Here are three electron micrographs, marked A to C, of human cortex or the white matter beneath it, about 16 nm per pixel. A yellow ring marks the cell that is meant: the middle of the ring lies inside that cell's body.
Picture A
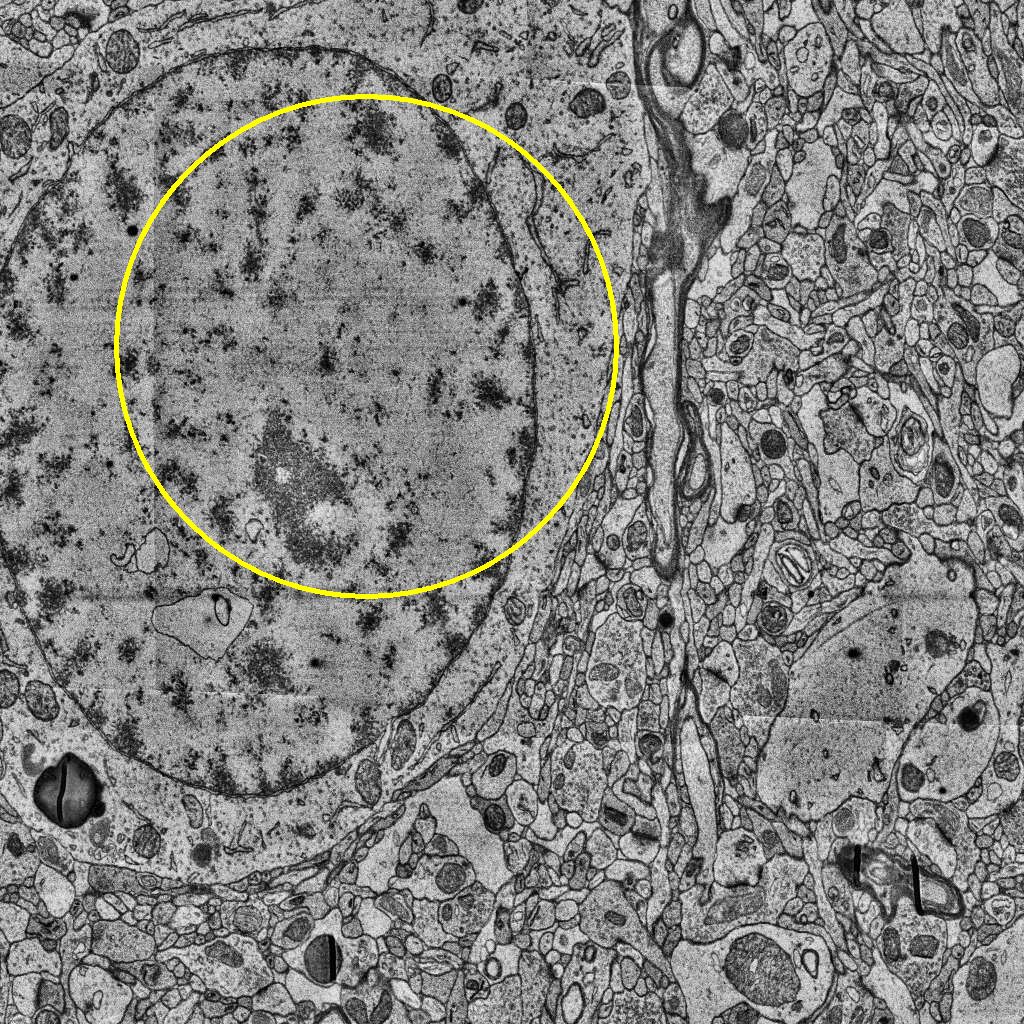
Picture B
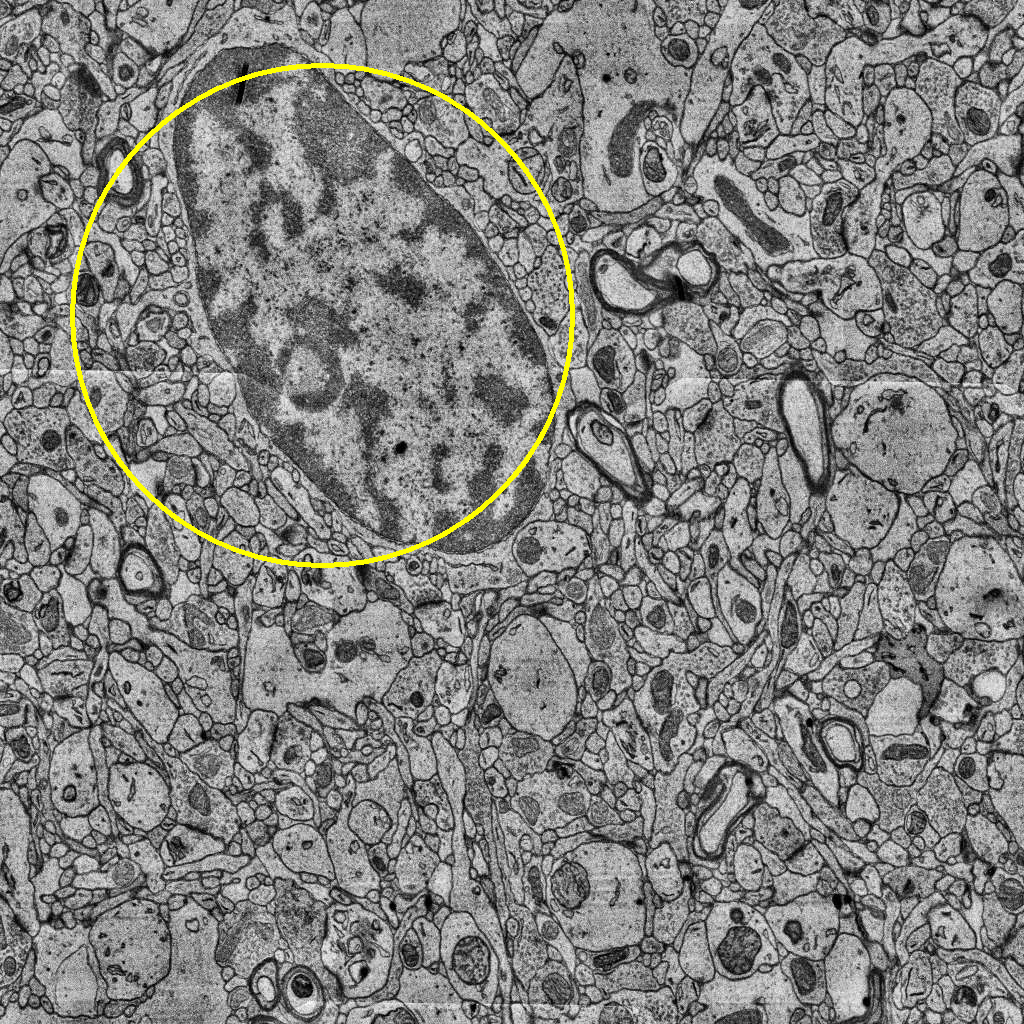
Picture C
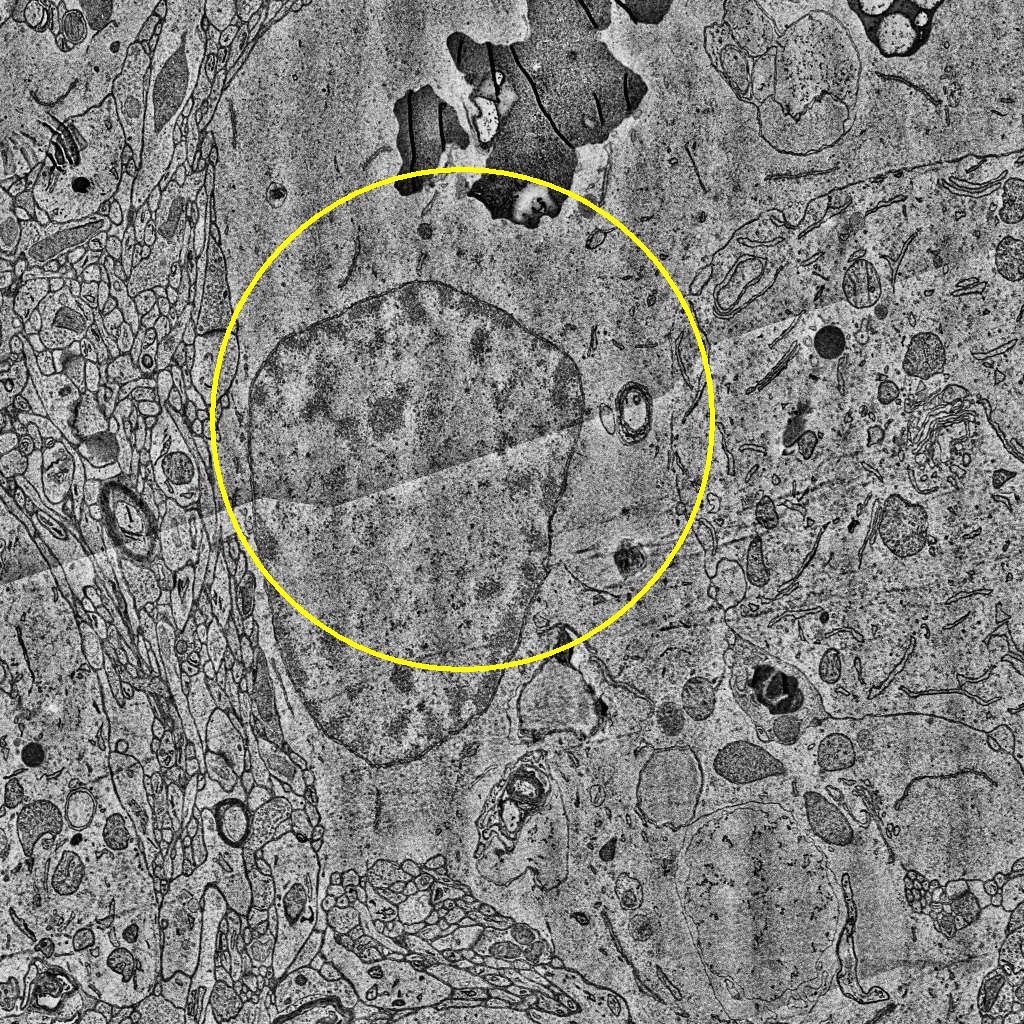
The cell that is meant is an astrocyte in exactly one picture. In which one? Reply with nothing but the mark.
C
